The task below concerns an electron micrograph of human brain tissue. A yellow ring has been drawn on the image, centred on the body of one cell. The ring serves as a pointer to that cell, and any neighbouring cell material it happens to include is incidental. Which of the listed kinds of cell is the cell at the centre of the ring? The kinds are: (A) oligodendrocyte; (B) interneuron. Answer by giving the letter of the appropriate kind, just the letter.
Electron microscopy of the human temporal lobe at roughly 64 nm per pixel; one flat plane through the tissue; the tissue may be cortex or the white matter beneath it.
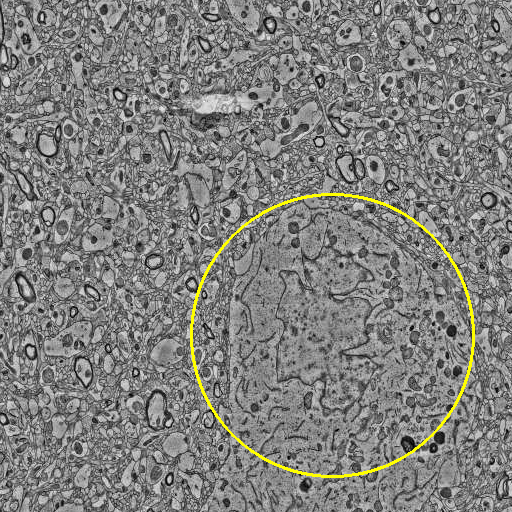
B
